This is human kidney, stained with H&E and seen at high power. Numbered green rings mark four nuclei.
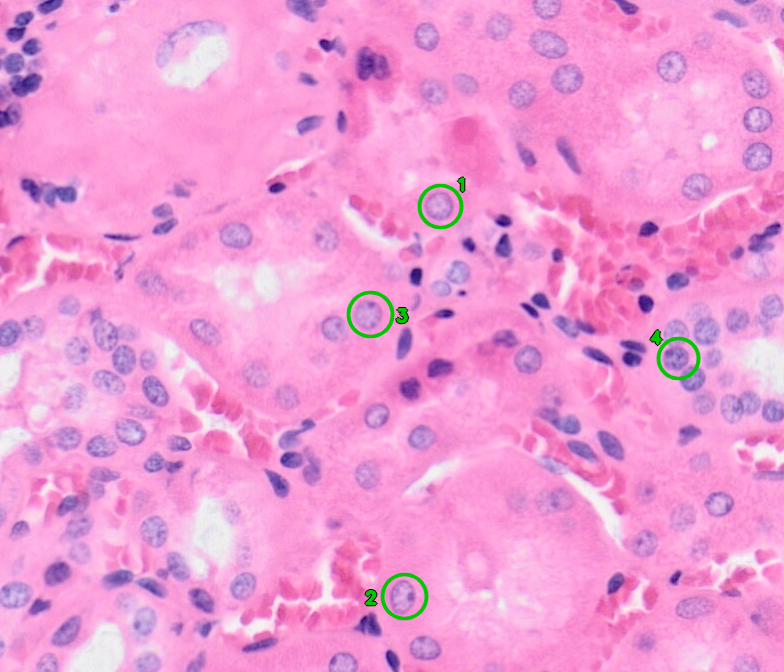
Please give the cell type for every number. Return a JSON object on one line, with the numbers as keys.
{"1": "proximal tubule cell", "2": "proximal tubule cell", "3": "proximal tubule cell", "4": "collecting duct cell"}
